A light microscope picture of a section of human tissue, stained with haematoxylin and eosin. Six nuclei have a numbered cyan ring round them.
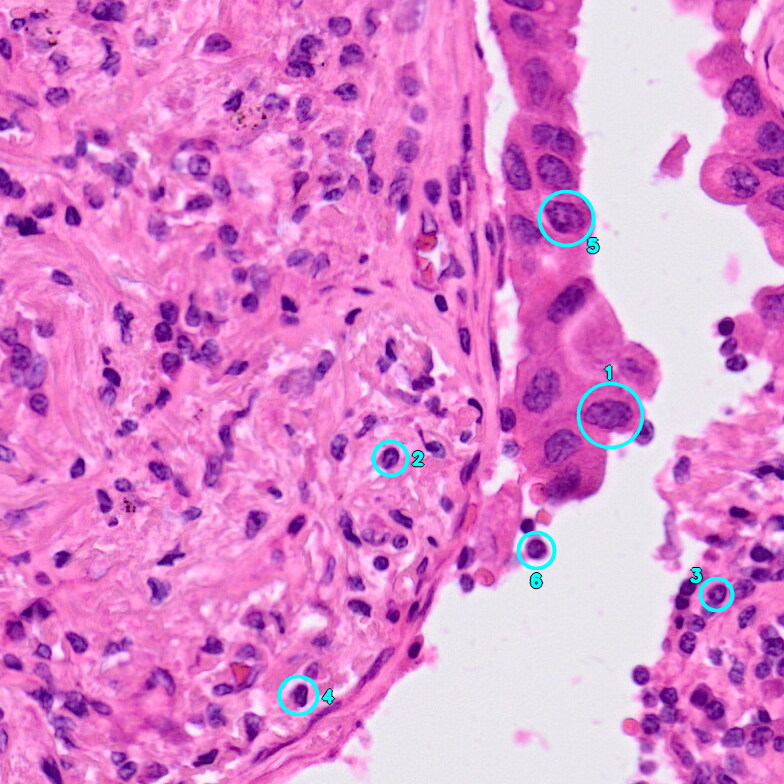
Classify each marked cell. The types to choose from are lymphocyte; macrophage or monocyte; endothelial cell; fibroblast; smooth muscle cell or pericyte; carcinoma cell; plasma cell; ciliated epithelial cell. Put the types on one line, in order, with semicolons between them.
carcinoma cell; lymphocyte; lymphocyte; lymphocyte; carcinoma cell; lymphocyte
